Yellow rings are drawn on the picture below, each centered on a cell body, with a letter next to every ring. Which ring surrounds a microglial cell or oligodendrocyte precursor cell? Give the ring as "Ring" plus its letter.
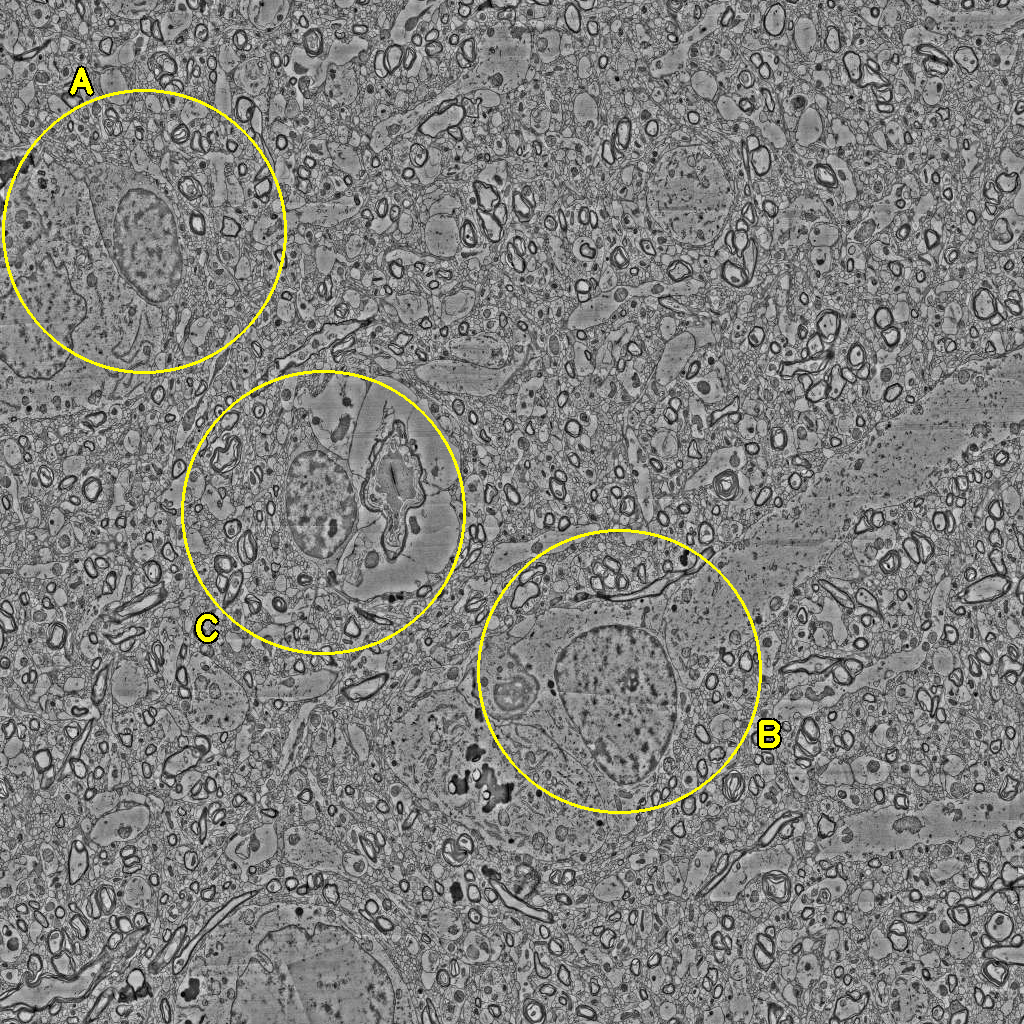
Ring B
